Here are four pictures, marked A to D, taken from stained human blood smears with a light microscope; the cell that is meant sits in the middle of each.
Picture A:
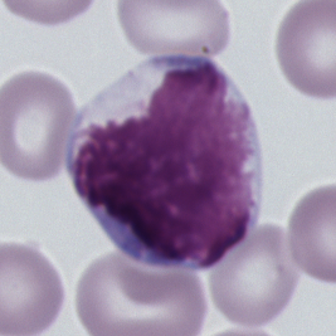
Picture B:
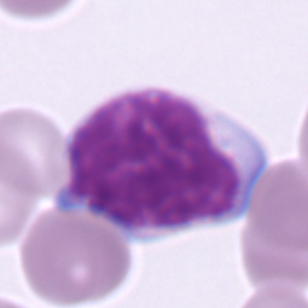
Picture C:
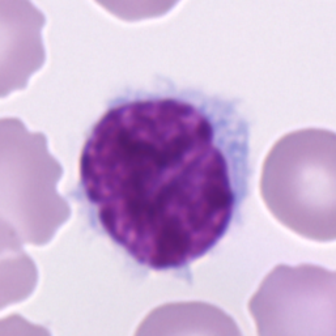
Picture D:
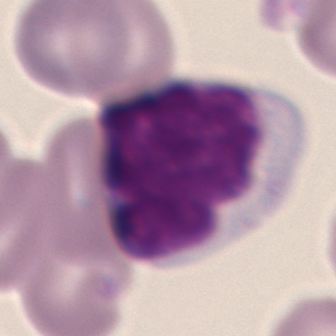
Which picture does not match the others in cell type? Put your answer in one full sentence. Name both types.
The others show large granular lymphocytes, but picture C shows a hairy cell.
